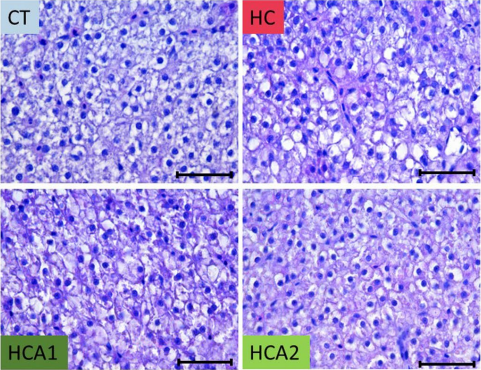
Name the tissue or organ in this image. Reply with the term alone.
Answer: Liver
